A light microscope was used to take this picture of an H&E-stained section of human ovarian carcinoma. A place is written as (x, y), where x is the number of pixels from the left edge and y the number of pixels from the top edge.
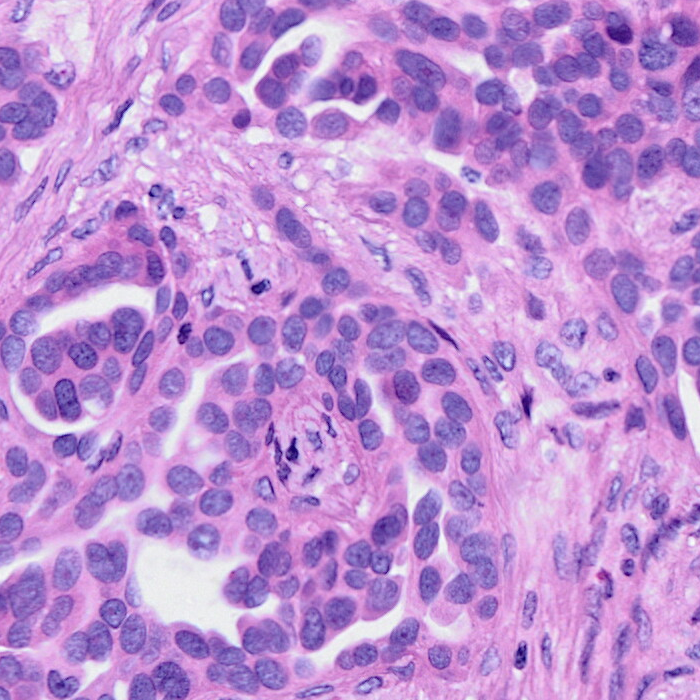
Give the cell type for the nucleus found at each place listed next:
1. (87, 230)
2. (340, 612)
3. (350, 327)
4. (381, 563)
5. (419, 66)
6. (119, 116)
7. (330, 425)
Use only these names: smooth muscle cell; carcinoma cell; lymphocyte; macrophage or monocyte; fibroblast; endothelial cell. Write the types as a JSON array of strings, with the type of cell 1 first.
["fibroblast", "carcinoma cell", "carcinoma cell", "carcinoma cell", "carcinoma cell", "fibroblast", "fibroblast"]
